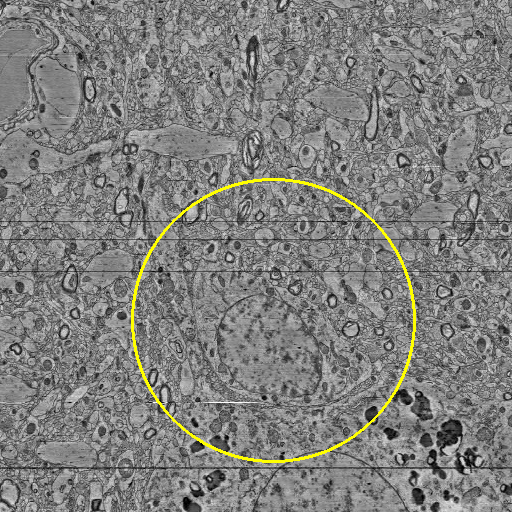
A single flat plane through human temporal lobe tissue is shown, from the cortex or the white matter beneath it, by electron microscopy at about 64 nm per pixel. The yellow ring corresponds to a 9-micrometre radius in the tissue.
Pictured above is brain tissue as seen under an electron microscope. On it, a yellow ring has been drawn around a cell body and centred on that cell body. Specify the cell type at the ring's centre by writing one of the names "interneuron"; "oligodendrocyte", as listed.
interneuron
